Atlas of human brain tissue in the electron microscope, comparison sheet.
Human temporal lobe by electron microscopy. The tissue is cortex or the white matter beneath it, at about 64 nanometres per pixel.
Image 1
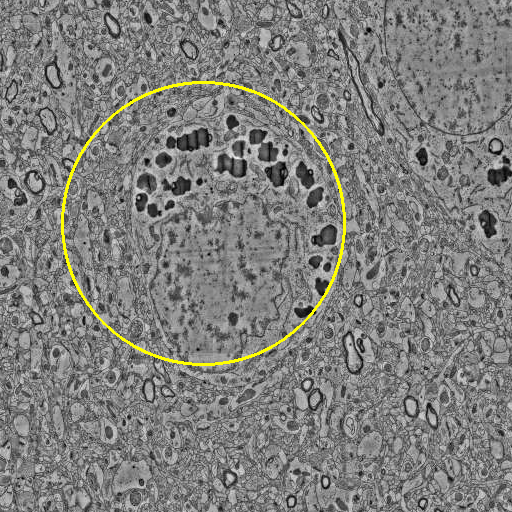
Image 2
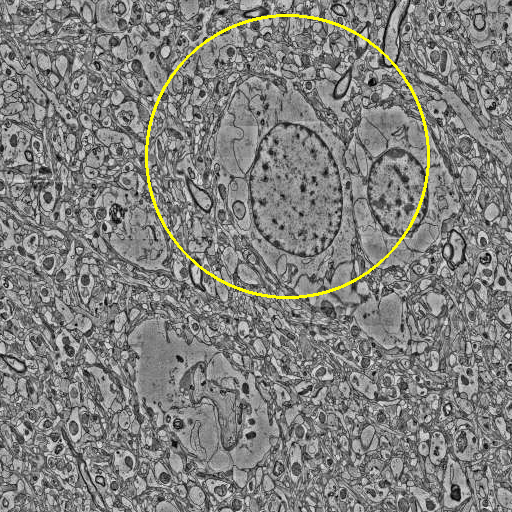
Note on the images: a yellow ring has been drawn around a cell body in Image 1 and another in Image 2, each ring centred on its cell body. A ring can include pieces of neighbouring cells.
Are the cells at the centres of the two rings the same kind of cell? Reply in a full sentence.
No, the two cells are of two kinds.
